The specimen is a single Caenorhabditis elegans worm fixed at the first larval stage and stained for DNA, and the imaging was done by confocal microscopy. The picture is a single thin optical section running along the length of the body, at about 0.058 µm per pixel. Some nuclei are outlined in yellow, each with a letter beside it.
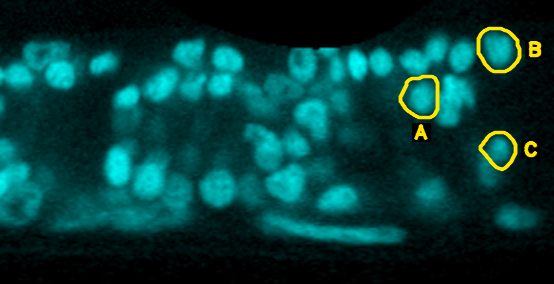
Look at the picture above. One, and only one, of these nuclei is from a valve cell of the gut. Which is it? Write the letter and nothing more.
C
